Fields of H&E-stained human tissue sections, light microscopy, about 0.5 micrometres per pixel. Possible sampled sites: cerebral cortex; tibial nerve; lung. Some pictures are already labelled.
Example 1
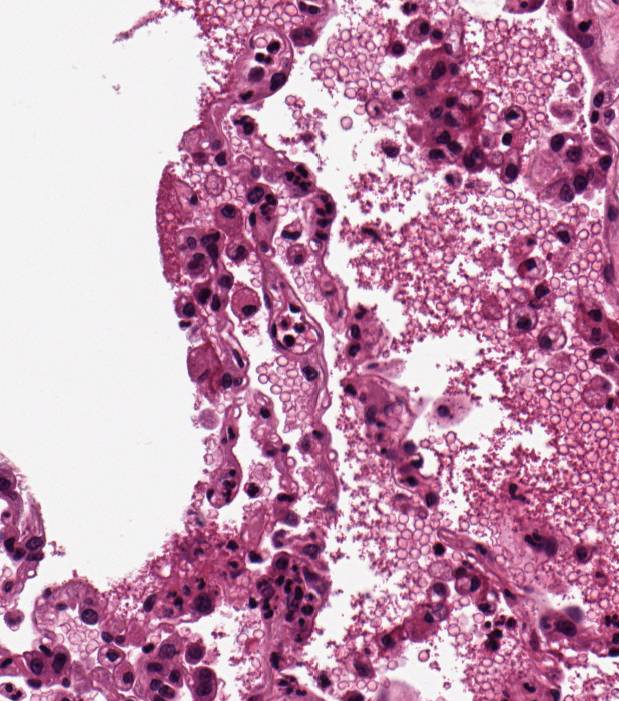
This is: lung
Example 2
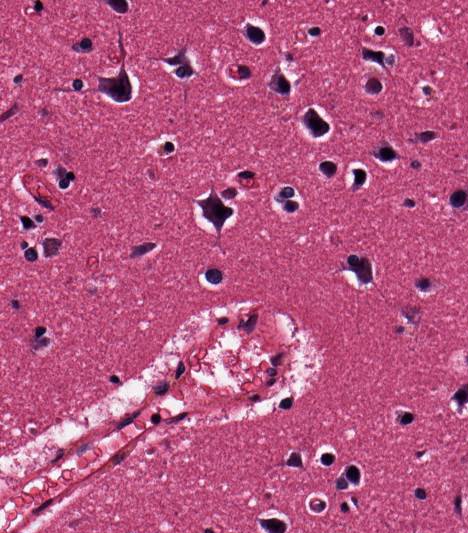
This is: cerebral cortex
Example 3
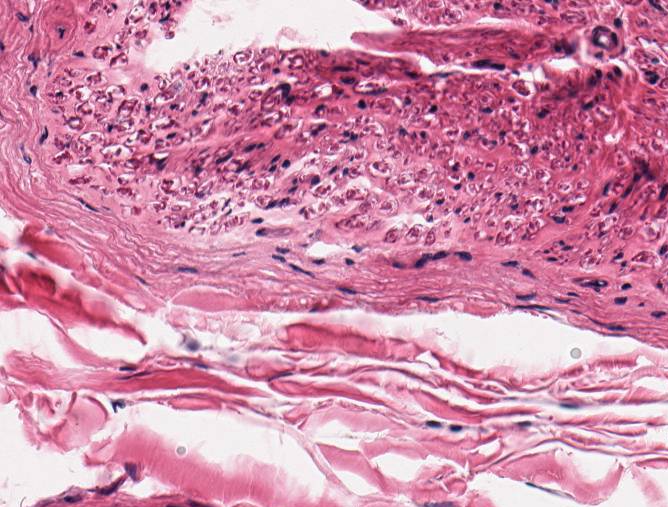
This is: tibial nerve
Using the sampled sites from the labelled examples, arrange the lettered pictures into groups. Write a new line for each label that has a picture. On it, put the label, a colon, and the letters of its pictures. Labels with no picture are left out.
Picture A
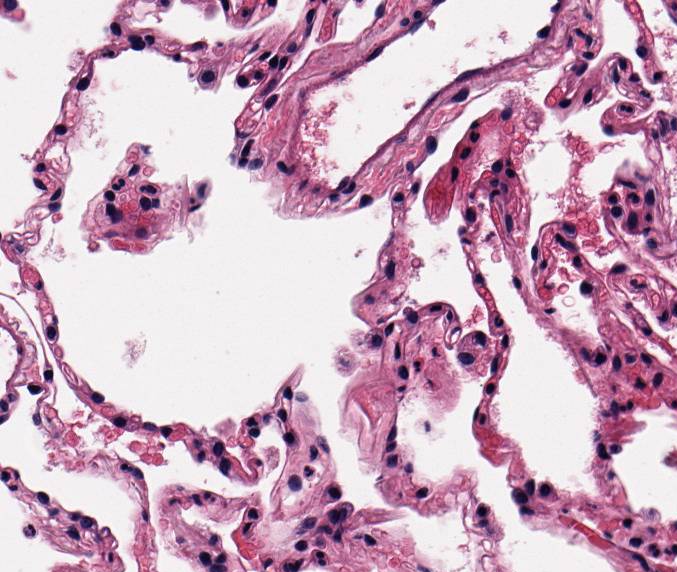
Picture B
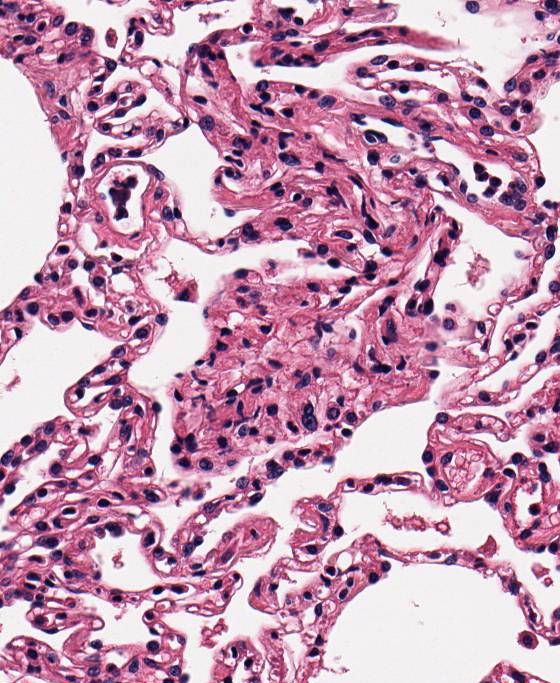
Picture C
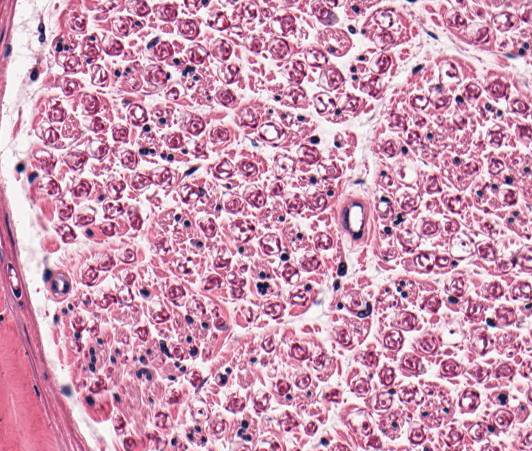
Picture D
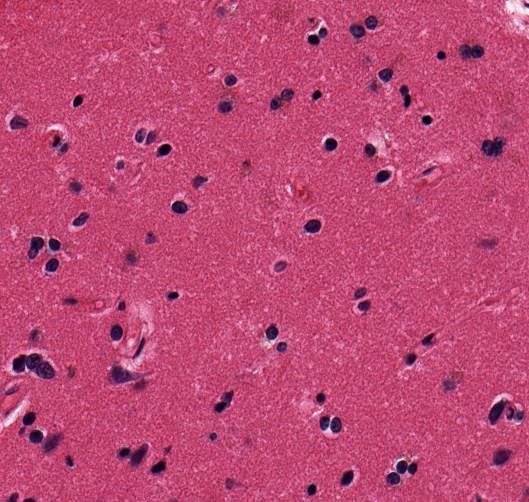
cerebral cortex: D
tibial nerve: C
lung: A, B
